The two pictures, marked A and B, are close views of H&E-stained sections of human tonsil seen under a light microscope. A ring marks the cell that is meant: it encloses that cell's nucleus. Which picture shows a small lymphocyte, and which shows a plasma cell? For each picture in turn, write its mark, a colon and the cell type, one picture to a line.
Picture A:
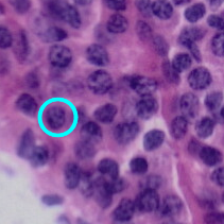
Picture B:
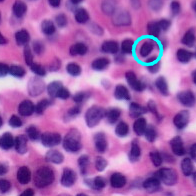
A: plasma cell
B: small lymphocyte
